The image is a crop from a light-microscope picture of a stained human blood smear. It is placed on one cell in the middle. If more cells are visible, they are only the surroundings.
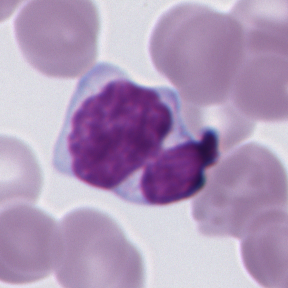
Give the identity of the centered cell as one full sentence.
The cell around which this crop is centred is a large granular lymphocyte.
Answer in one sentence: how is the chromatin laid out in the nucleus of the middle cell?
Here the nuclear chromatin is coarsely clumped.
